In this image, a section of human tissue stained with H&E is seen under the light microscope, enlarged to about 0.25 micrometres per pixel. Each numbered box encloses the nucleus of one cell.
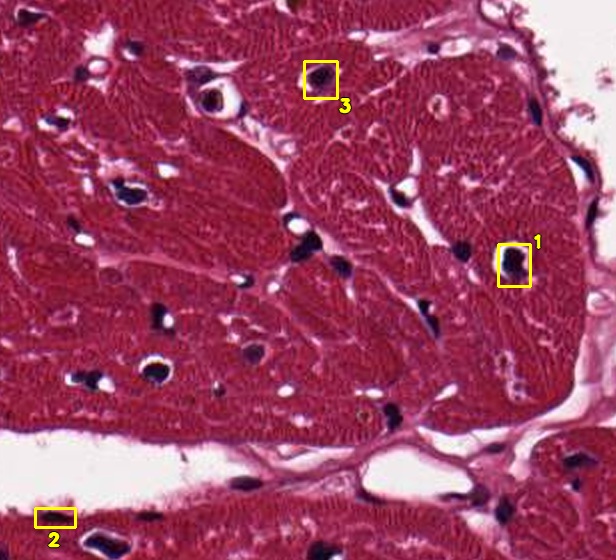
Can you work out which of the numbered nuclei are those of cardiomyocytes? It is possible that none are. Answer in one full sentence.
The numbers 1 and 3 mark nuclei of cardiomyocytes.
